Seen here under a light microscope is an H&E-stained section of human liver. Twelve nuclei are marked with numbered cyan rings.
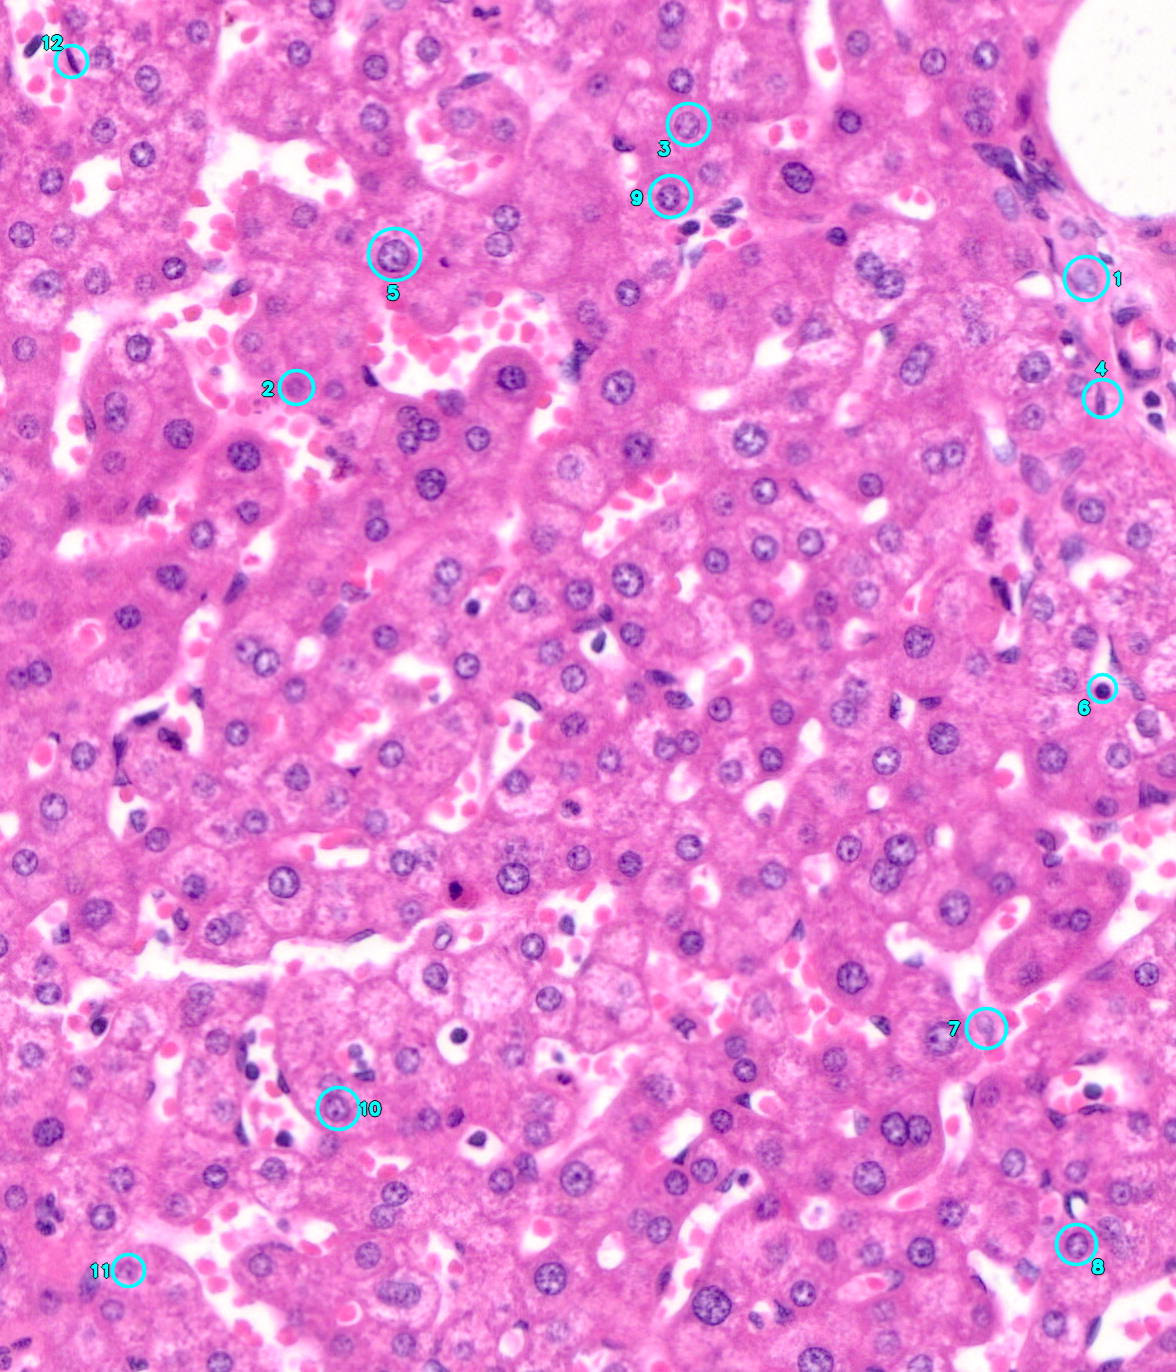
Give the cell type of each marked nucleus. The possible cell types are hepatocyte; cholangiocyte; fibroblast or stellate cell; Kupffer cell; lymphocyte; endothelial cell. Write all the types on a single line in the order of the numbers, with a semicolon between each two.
cholangiocyte; hepatocyte; hepatocyte; fibroblast or stellate cell; hepatocyte; lymphocyte; Kupffer cell; hepatocyte; hepatocyte; hepatocyte; hepatocyte; fibroblast or stellate cell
